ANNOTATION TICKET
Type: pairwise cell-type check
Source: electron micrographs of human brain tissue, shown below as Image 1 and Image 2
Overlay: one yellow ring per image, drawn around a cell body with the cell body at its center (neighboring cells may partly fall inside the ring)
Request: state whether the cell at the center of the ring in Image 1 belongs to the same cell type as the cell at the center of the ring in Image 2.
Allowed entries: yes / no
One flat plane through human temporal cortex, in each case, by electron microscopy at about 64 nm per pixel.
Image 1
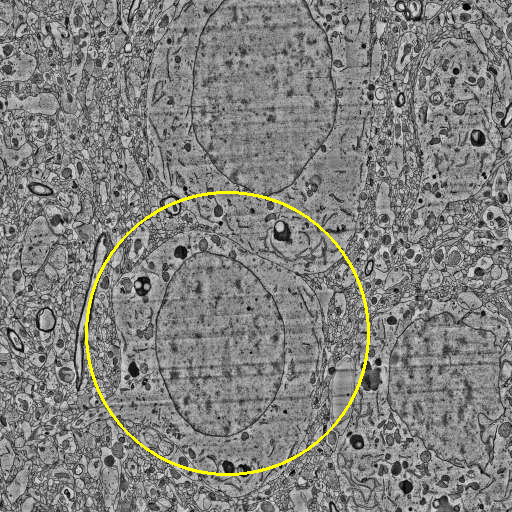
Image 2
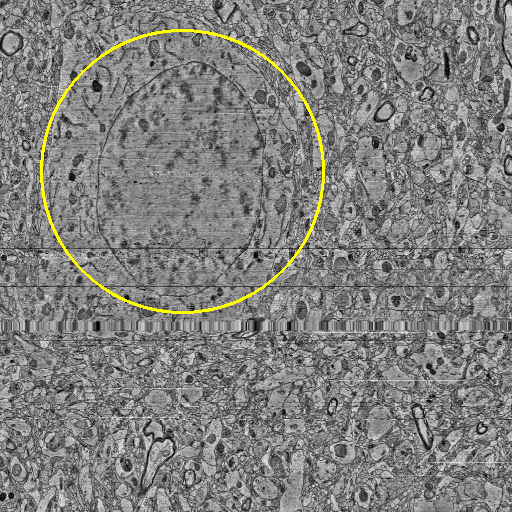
yes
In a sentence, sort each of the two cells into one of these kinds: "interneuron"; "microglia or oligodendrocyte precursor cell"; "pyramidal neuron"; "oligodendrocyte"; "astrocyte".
The cell at the ring centre is a pyramidal neuron in both pictures.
